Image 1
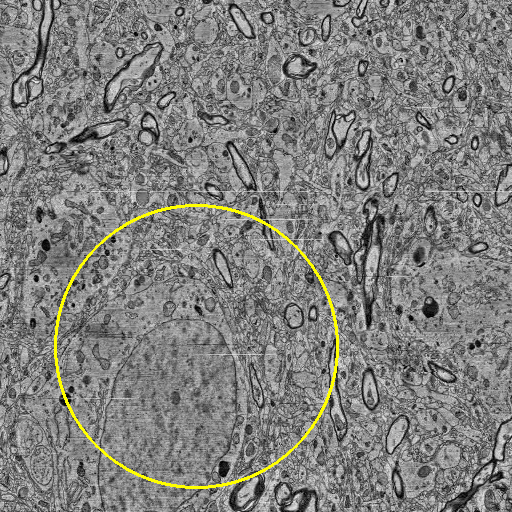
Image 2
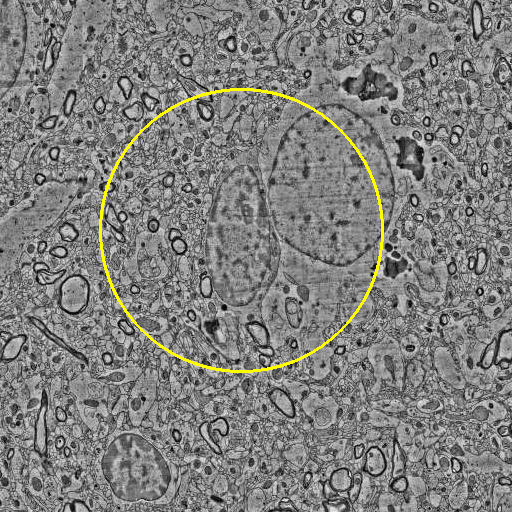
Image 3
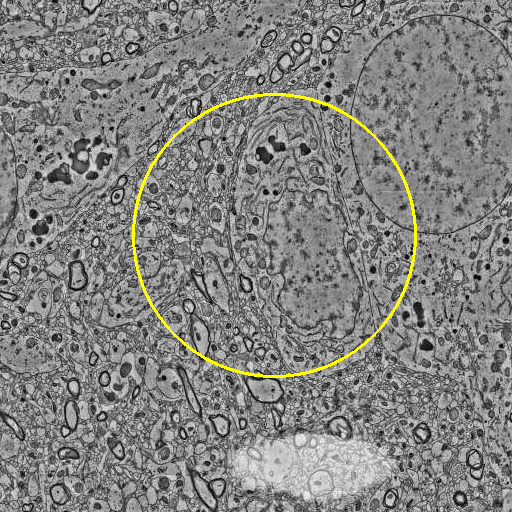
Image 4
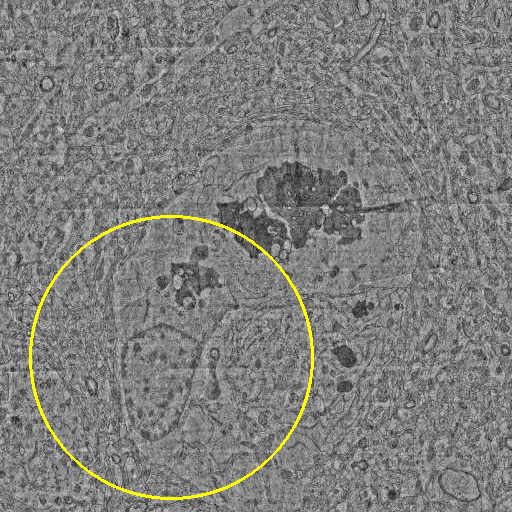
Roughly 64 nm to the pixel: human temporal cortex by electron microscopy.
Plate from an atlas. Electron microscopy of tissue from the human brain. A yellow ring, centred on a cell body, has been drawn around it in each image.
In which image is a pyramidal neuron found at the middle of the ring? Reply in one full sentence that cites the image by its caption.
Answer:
The requested cell is the one at the ring's centre in Image 1.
